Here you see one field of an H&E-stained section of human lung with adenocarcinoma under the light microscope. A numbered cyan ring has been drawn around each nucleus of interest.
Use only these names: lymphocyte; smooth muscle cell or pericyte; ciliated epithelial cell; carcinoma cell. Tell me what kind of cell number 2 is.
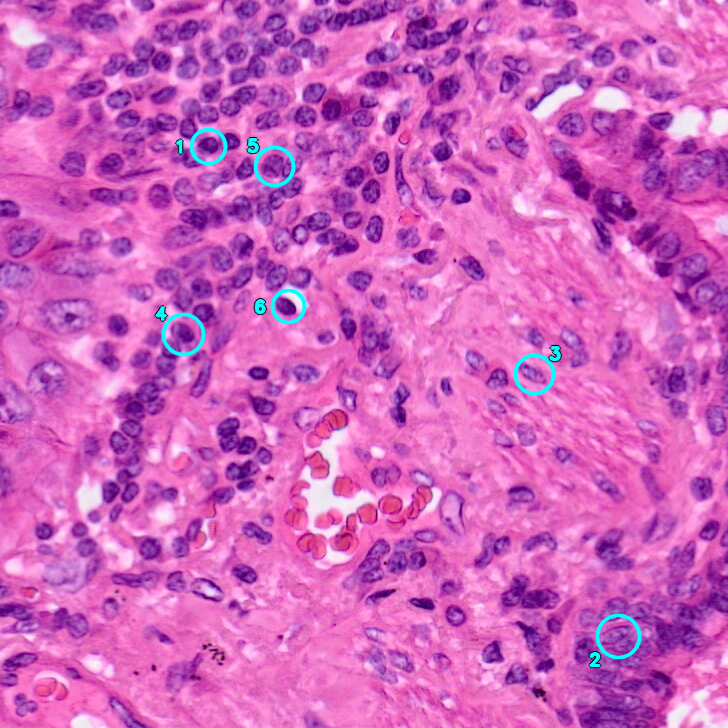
ciliated epithelial cell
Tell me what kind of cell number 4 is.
lymphocyte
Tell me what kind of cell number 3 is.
smooth muscle cell or pericyte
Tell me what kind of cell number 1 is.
lymphocyte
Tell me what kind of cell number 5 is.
lymphocyte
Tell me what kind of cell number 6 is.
lymphocyte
